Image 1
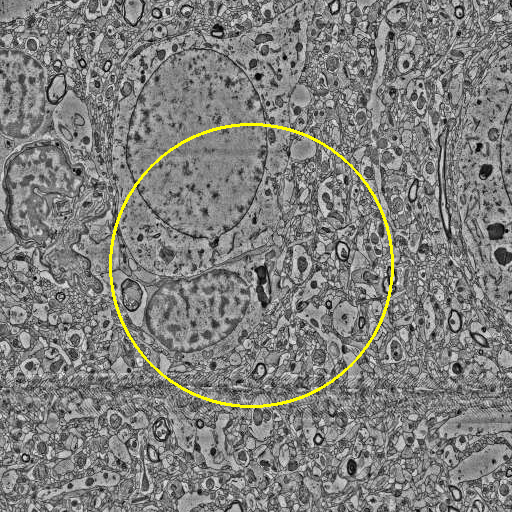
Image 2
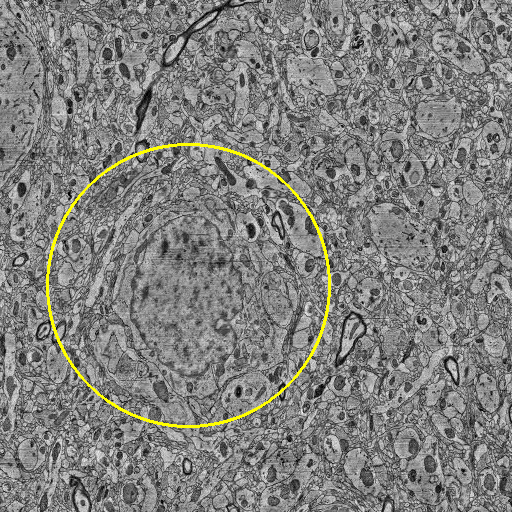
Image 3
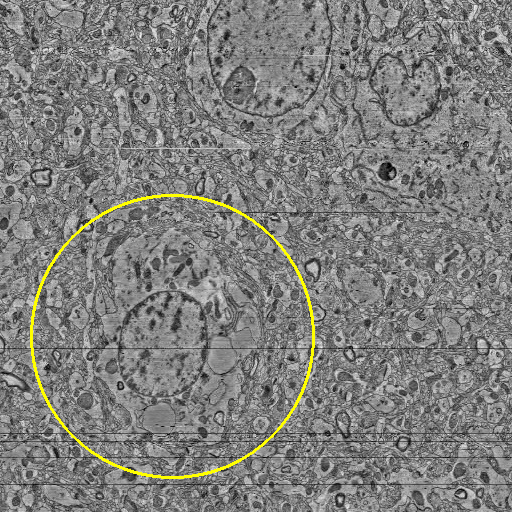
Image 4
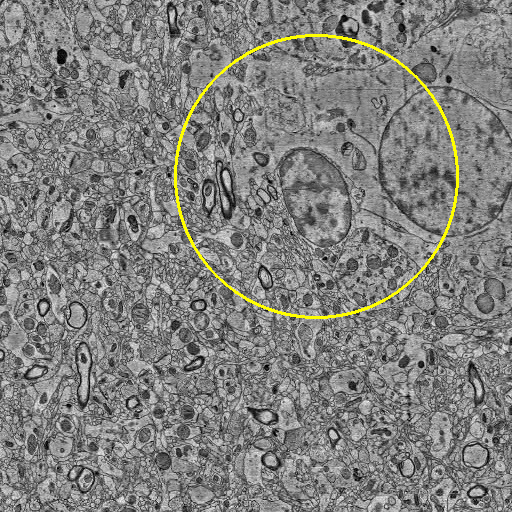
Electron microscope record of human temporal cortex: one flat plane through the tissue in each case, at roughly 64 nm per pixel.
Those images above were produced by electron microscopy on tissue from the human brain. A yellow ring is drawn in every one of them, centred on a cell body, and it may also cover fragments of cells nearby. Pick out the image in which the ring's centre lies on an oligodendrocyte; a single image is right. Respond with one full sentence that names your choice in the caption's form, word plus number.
Image 1 is my choice: its ring is centred on the requested cell.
